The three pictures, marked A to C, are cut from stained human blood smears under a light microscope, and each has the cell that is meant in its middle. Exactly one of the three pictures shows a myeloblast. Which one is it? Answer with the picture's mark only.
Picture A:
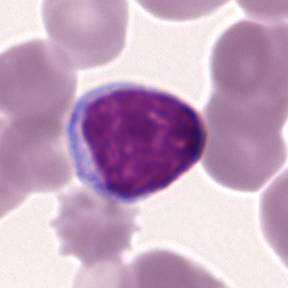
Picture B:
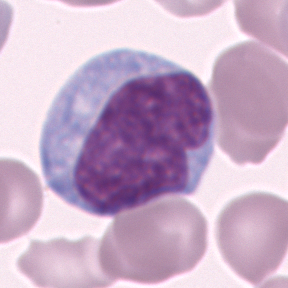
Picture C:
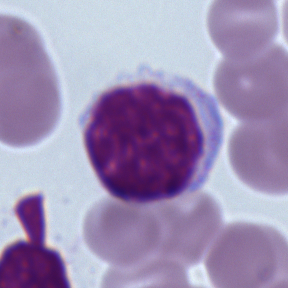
B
